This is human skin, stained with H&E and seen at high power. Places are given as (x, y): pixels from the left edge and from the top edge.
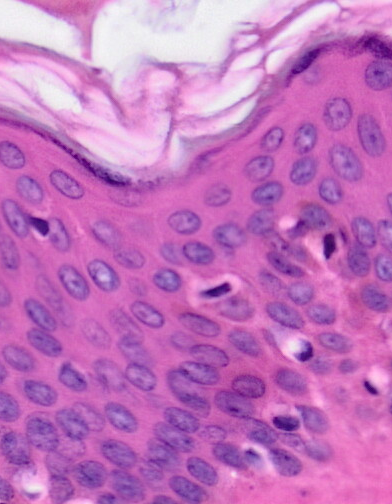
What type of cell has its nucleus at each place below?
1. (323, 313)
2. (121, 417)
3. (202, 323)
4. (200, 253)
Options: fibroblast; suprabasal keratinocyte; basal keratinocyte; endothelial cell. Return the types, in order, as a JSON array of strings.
["basal keratinocyte", "suprabasal keratinocyte", "suprabasal keratinocyte", "suprabasal keratinocyte"]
